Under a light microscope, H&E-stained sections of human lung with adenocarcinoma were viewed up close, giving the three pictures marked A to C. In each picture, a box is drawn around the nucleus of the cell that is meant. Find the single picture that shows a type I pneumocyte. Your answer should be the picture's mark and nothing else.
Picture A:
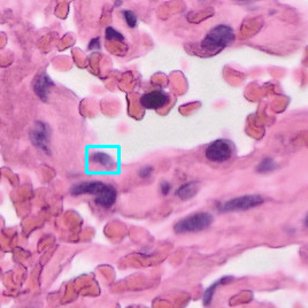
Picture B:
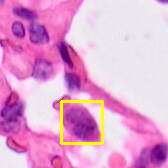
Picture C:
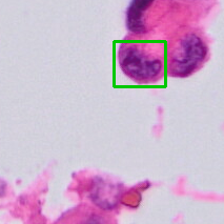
A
